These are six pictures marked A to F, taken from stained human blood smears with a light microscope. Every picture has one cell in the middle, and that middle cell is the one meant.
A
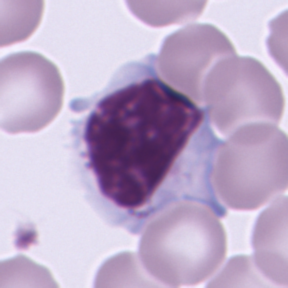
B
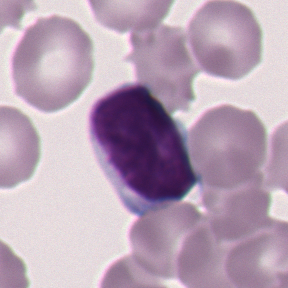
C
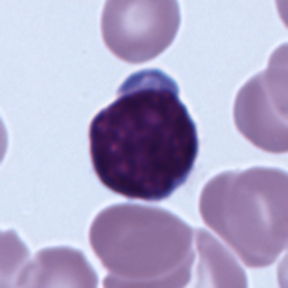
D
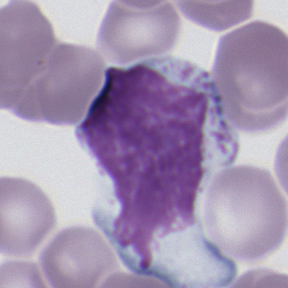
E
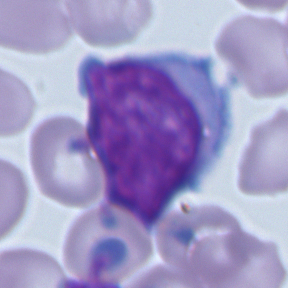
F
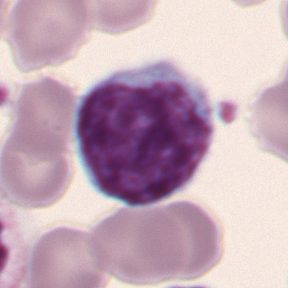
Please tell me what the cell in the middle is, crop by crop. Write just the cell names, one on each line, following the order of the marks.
large granular lymphocyte
typical lymphocyte
myeloblast
large granular lymphocyte
myeloblast
typical lymphocyte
